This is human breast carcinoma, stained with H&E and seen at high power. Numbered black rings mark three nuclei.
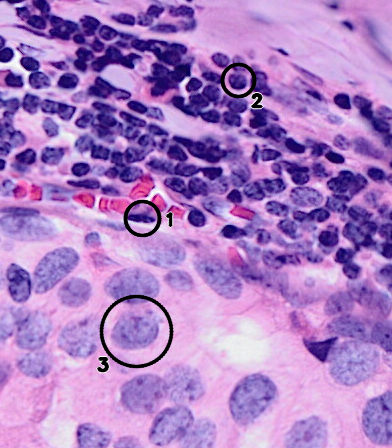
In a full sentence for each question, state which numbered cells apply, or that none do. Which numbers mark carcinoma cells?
Cell 3 is a carcinoma cell; no further numbered cell is.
